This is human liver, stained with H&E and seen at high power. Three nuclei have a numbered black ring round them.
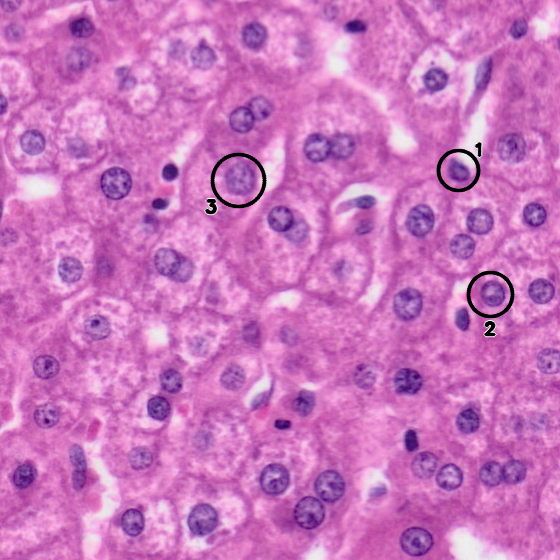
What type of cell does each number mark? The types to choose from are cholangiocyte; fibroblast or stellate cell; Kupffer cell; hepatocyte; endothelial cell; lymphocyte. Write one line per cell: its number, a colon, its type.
1: endothelial cell
2: hepatocyte
3: hepatocyte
